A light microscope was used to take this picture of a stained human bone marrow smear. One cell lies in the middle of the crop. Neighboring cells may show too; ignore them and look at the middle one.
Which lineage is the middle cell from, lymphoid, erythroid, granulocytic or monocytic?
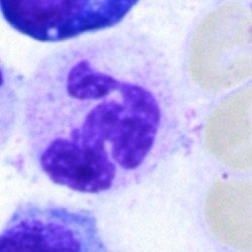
granulocytic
